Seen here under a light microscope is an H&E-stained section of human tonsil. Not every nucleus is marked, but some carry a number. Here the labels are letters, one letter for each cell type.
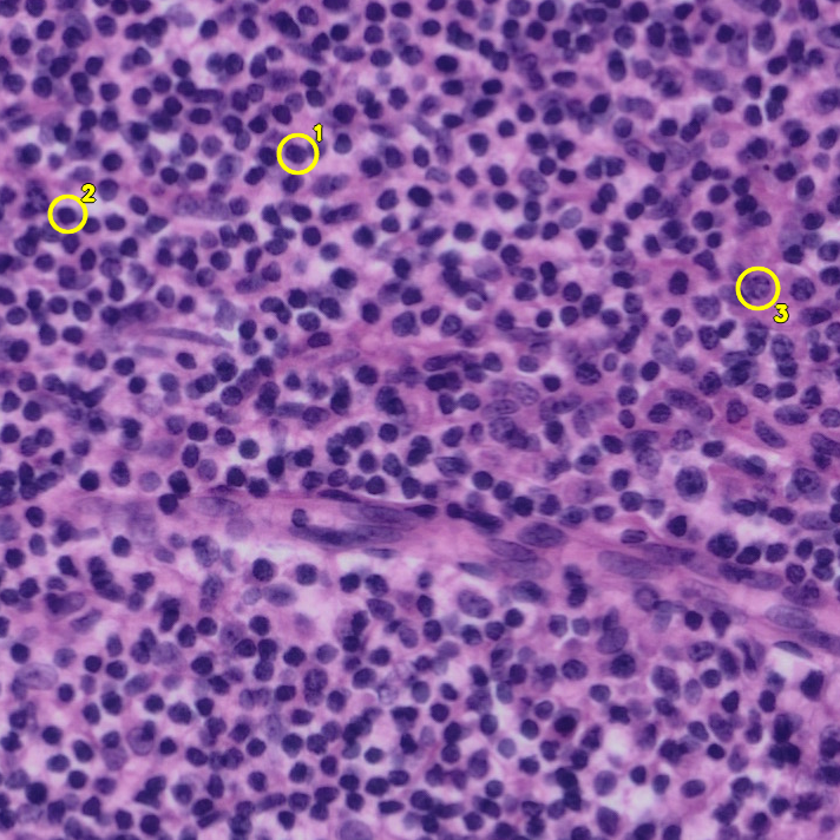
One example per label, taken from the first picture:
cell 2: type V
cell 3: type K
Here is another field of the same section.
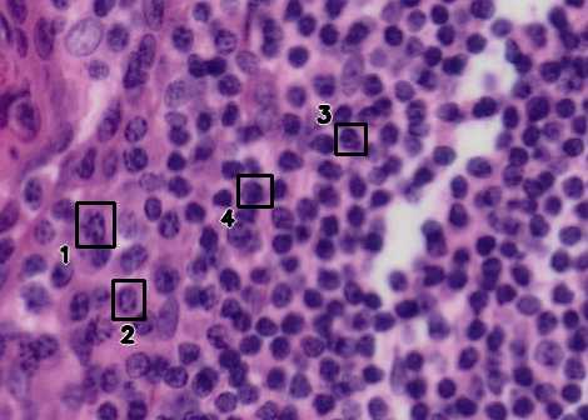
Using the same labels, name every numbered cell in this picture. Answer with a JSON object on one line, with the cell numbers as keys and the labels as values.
{"1": "type K", "2": "type K", "3": "type V", "4": "type V"}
